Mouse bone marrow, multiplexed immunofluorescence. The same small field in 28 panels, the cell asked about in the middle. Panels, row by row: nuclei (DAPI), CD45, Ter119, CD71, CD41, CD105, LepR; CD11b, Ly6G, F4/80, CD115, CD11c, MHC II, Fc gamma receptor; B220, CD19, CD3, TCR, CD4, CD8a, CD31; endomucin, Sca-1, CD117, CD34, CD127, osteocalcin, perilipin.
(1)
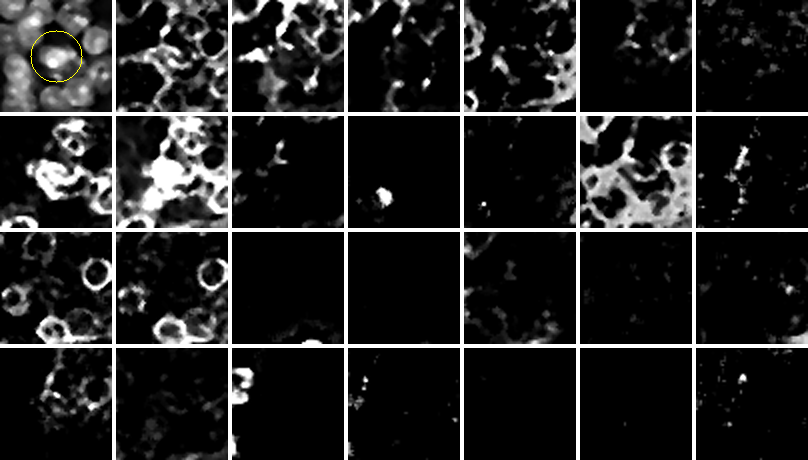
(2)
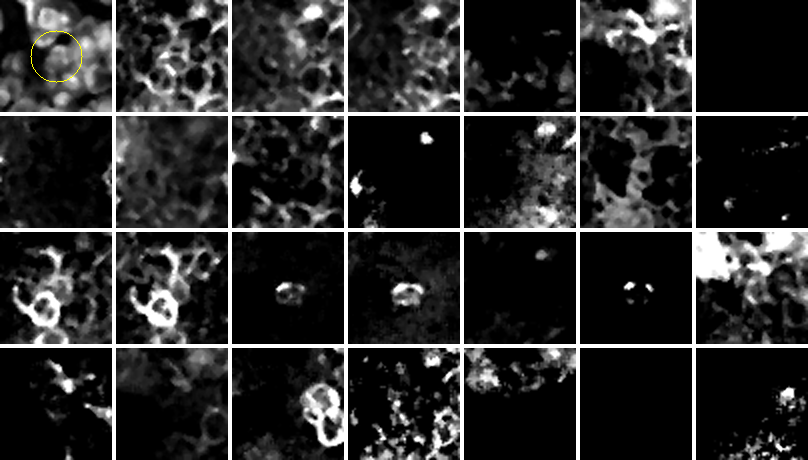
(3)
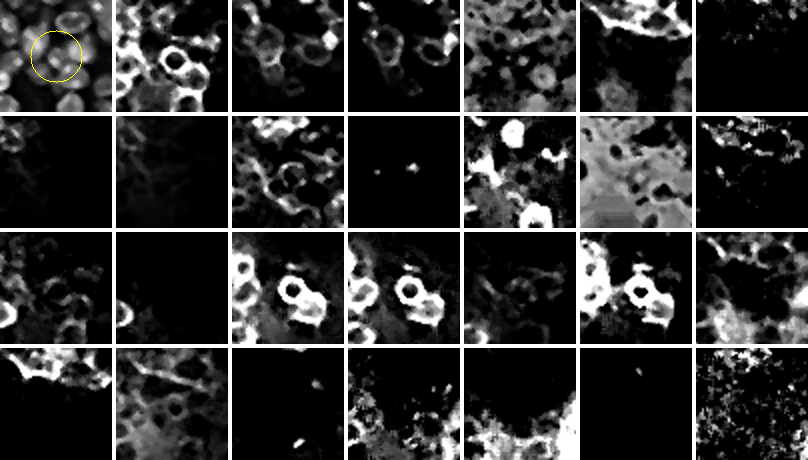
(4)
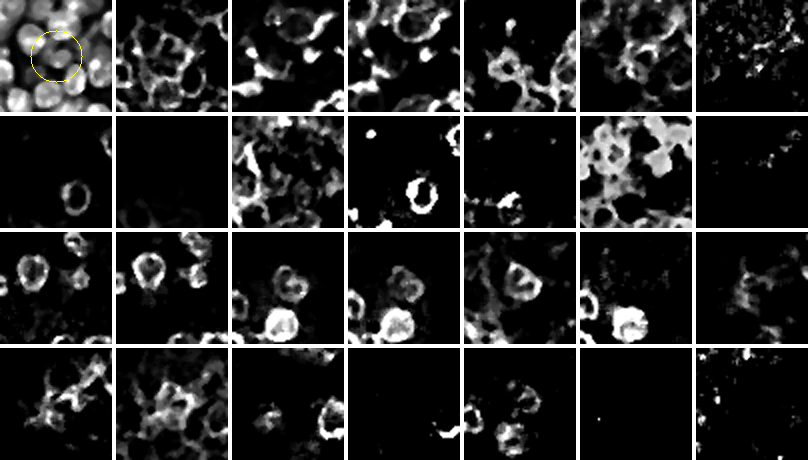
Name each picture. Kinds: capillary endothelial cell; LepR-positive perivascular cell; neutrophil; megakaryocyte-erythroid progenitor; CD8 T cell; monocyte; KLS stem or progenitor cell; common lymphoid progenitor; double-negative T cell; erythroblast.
1. neutrophil
2. double-negative T cell
3. CD8 T cell
4. capillary endothelial cell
